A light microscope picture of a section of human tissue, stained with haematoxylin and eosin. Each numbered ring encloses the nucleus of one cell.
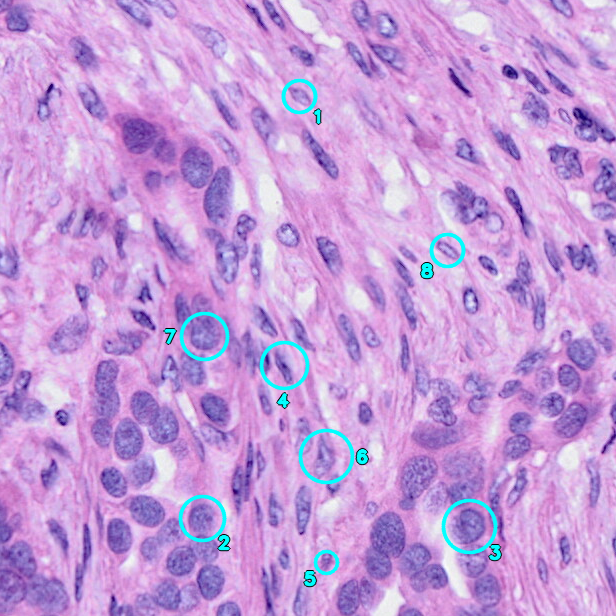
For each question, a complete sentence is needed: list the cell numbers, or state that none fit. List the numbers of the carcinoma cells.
Identification: the cells with numbers 2, 3 and 7 are carcinoma cells.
